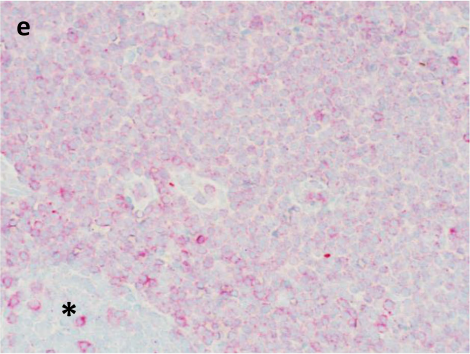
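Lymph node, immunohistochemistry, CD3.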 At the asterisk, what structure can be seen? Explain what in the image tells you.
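The surrounding sheet of cells shows faint red staining.
Hence: remnant follicle.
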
